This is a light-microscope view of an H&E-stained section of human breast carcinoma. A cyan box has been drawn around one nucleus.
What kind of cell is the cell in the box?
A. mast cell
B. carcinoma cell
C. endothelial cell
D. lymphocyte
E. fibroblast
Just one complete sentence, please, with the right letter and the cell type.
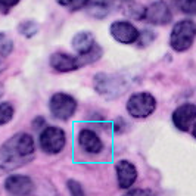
With the cell in the box being a lymphocyte, option D is correct.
